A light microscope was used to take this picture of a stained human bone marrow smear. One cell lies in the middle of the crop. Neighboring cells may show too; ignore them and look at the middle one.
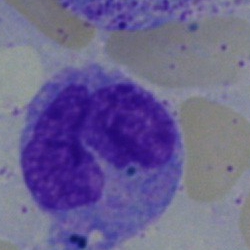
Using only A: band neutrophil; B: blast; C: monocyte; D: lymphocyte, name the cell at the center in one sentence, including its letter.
Of the choices given, option C is right, as the central cell is a monocyte.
